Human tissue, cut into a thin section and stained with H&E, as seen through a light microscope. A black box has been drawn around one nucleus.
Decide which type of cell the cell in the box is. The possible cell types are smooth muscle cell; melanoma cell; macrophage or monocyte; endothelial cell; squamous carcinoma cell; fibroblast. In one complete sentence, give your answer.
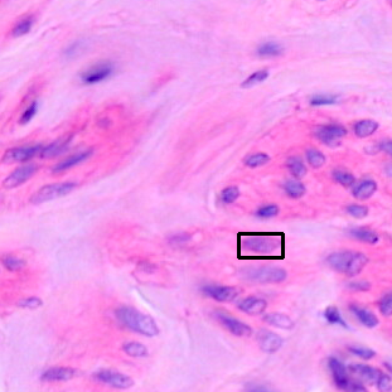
It is a smooth muscle cell that the cell in the box represents.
